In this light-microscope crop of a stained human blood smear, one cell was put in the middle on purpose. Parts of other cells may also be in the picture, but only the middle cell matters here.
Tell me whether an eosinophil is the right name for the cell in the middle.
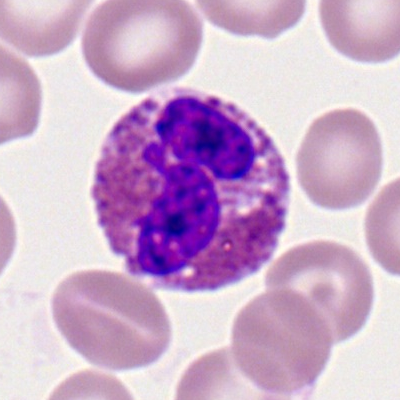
yes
